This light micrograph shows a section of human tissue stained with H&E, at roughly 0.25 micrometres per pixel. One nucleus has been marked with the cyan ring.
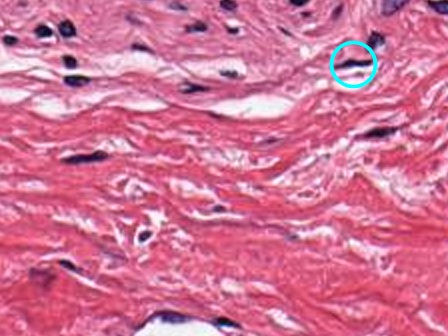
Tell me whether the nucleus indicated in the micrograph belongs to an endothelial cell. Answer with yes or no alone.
no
